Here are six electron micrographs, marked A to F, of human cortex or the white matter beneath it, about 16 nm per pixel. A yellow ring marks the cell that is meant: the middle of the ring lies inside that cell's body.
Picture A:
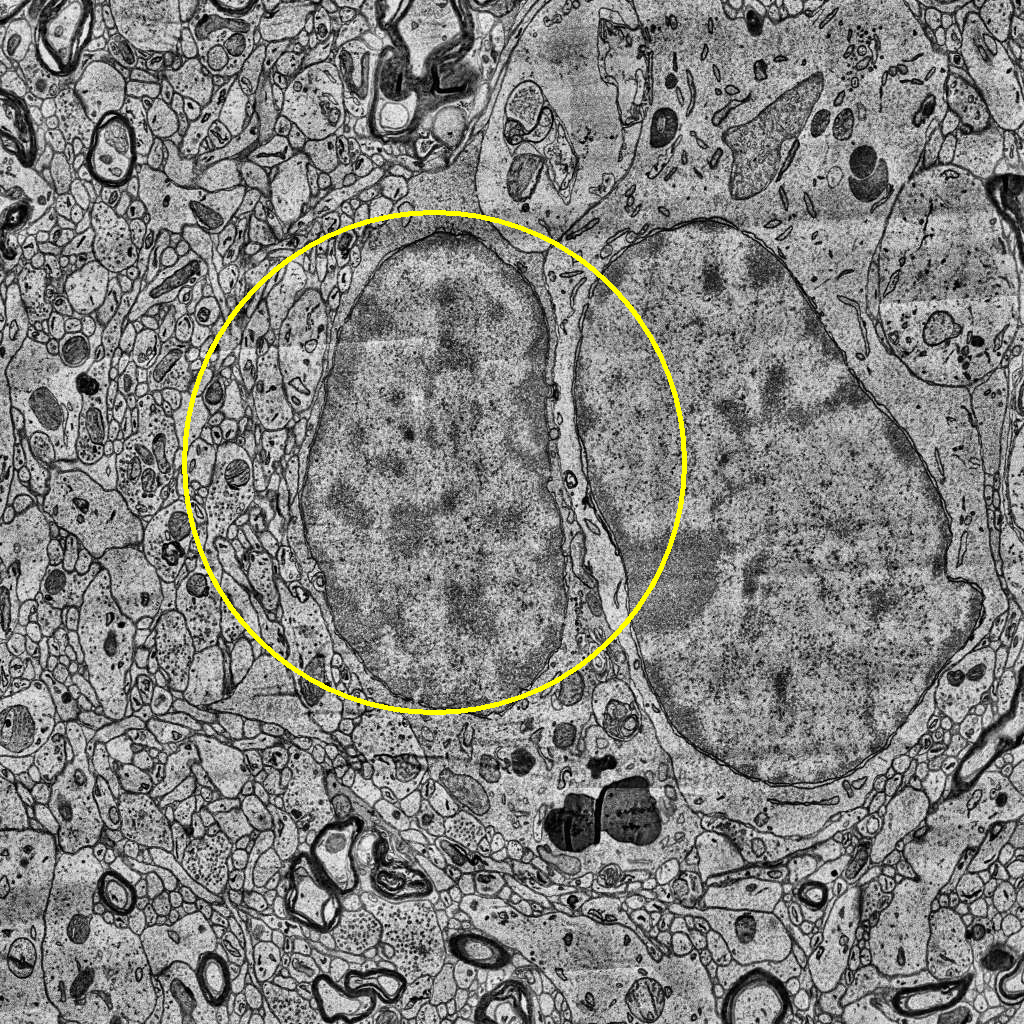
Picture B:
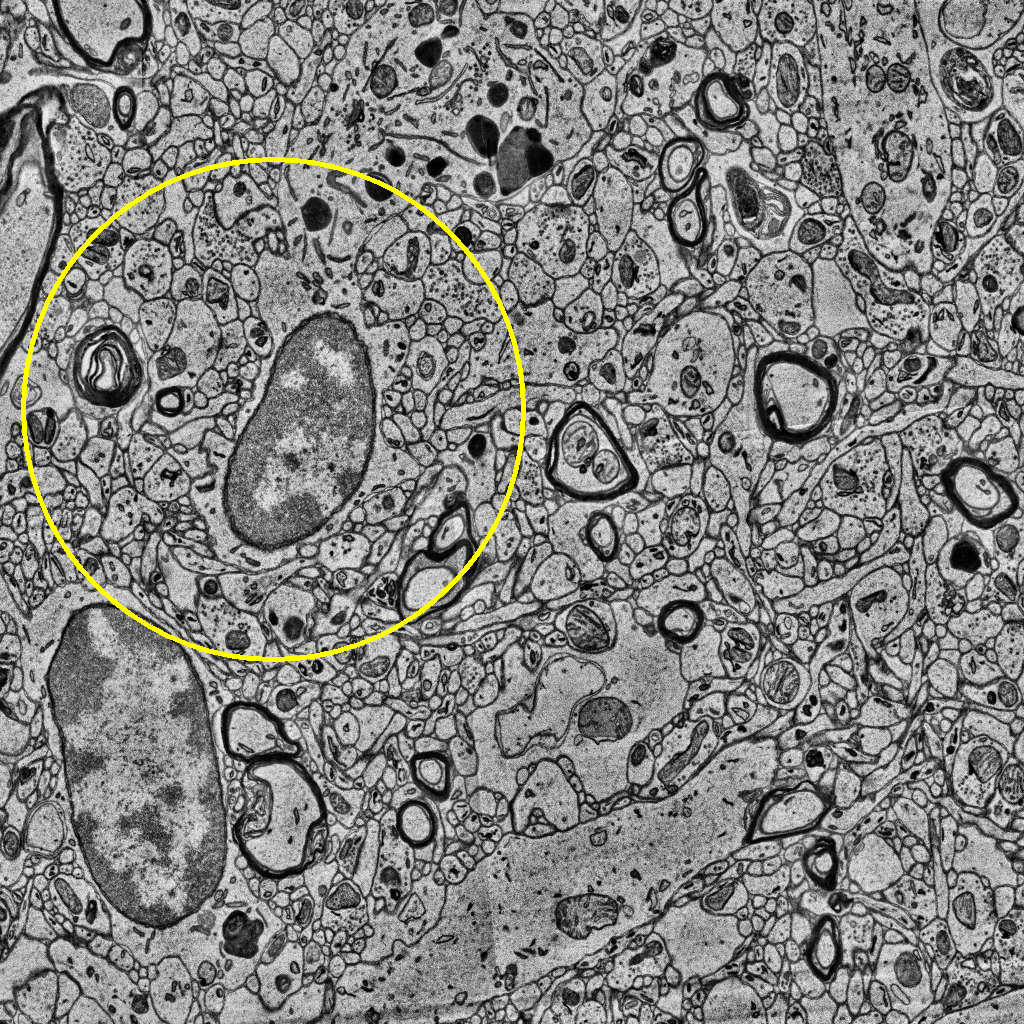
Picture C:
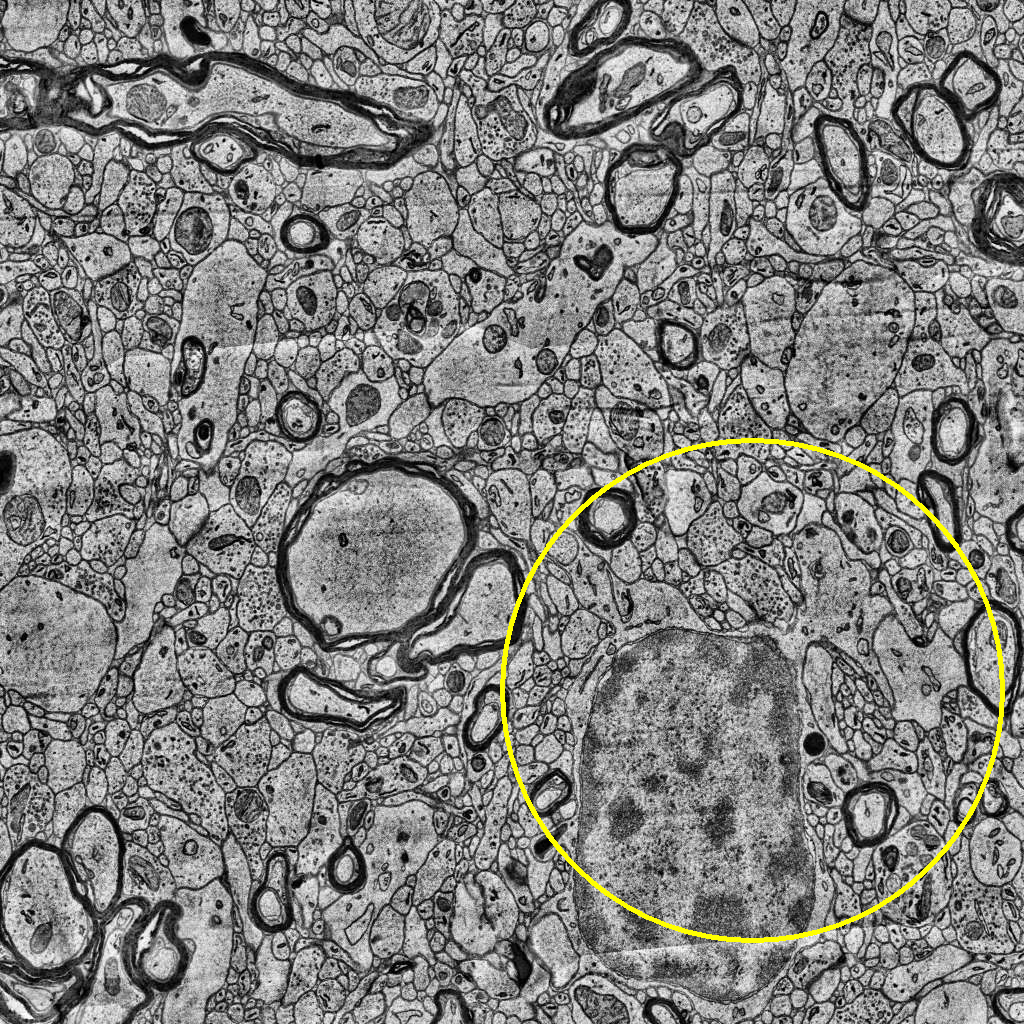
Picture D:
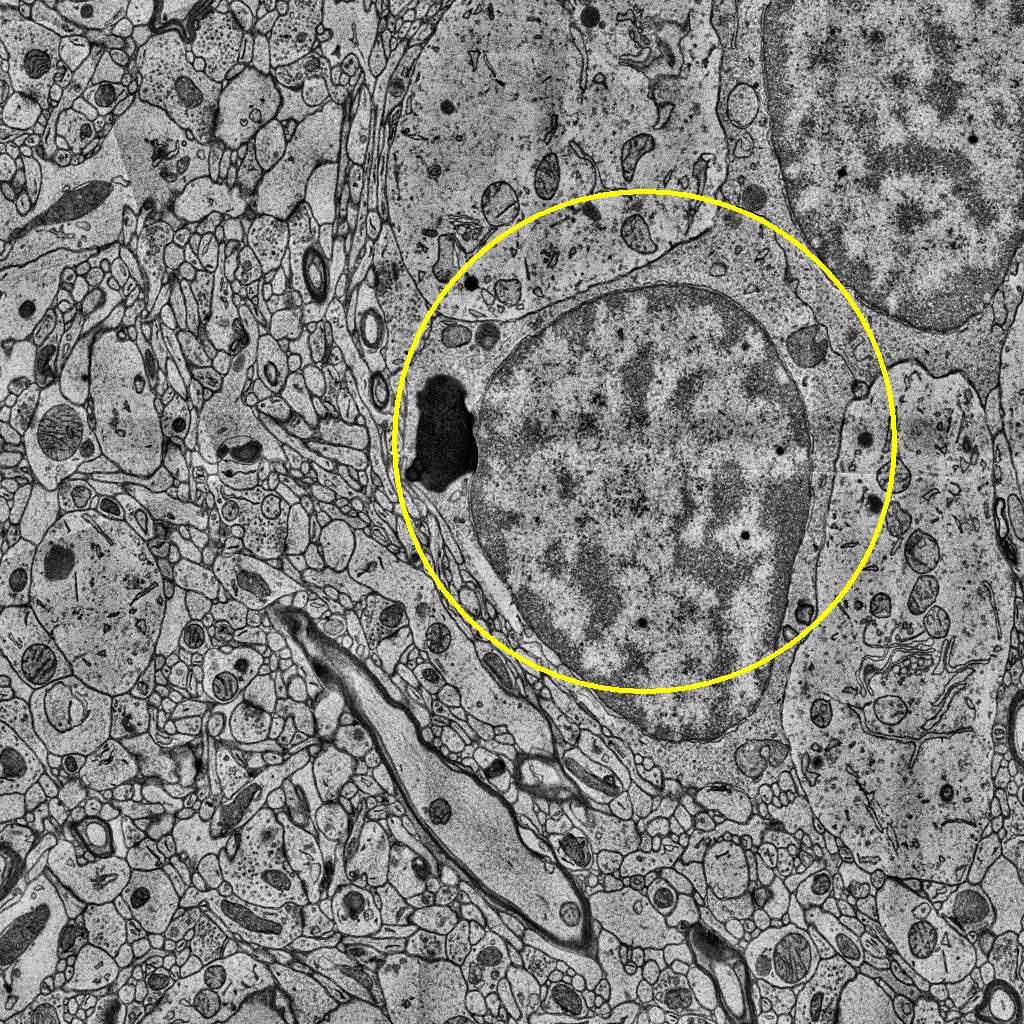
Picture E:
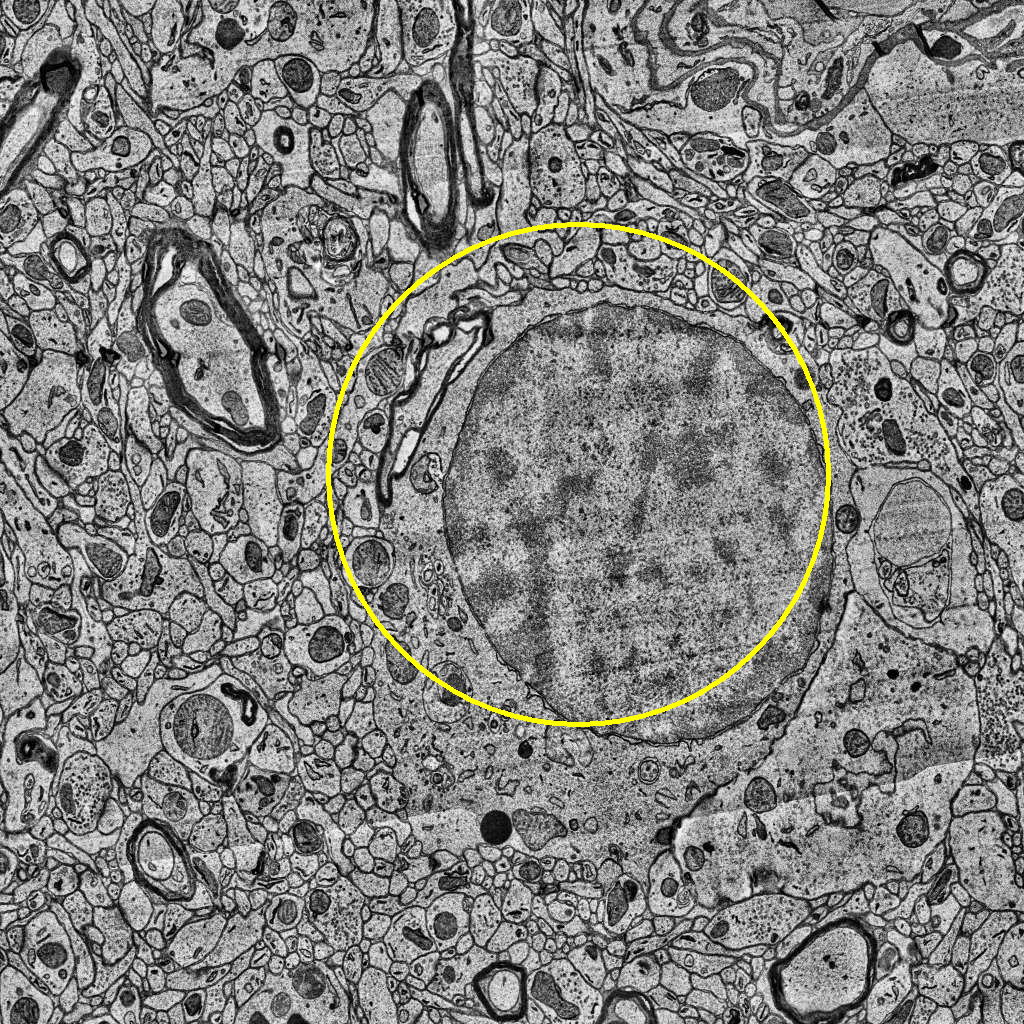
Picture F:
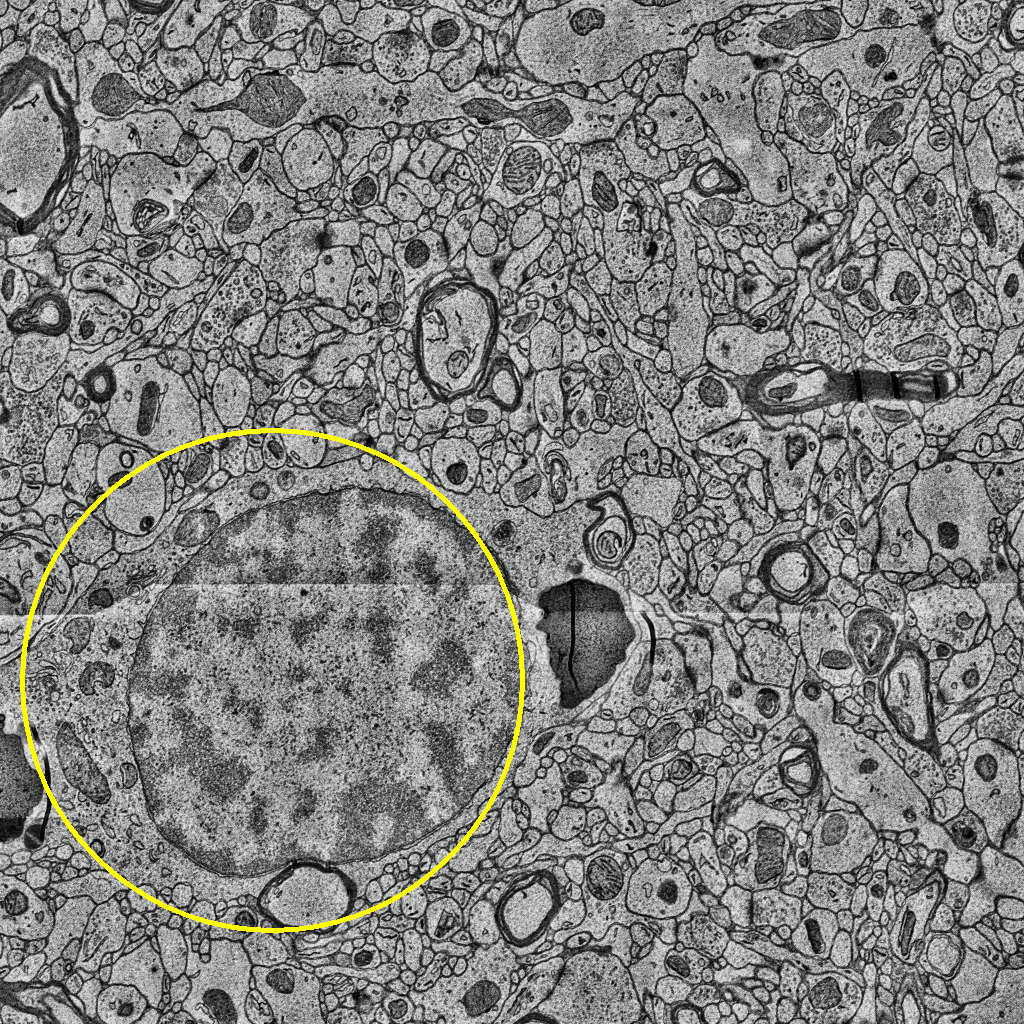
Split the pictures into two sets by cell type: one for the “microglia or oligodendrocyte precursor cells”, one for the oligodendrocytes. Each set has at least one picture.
Pictures B and C show “microglia or oligodendrocyte precursor cells”, and pictures A, D, E and F show oligodendrocytes.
